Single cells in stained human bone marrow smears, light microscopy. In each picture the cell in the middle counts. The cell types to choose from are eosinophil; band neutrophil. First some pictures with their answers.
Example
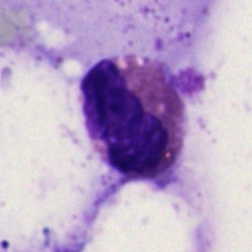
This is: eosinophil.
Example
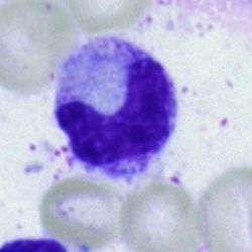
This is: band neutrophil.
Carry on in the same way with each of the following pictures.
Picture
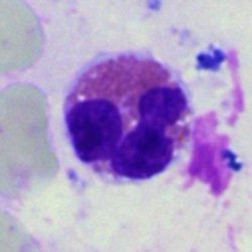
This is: eosinophil.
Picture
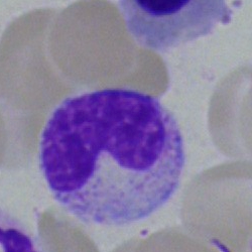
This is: band neutrophil.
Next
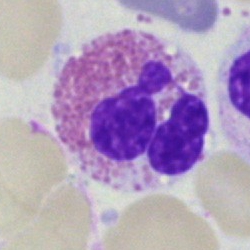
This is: eosinophil.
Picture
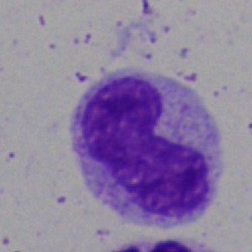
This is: band neutrophil.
